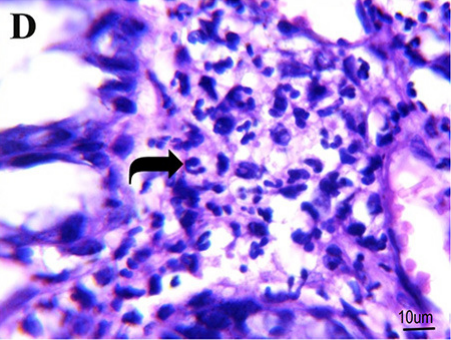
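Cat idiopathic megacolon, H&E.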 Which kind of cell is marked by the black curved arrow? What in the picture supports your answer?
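Neutrophils. The arrow points into a dense cluster of small cells with dark, irregular, segmented nuclei. The cells have scant pale cytoplasm.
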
